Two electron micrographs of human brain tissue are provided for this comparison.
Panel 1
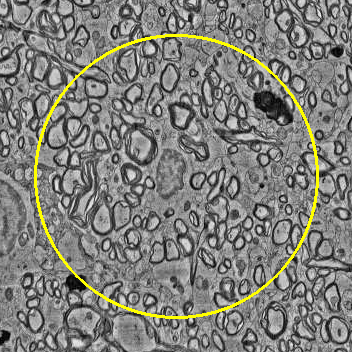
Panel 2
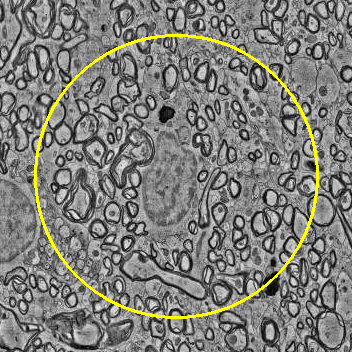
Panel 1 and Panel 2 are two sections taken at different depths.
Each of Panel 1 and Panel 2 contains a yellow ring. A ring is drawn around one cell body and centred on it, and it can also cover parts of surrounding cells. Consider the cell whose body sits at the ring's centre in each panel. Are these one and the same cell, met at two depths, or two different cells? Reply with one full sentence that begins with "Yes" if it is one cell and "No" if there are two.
Yes, one cell accounts for both of the yellow rings.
